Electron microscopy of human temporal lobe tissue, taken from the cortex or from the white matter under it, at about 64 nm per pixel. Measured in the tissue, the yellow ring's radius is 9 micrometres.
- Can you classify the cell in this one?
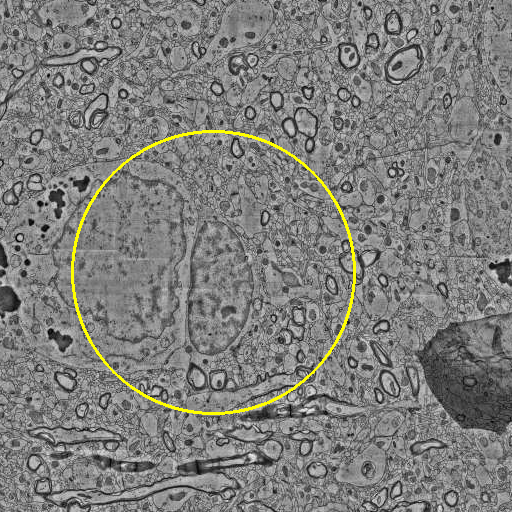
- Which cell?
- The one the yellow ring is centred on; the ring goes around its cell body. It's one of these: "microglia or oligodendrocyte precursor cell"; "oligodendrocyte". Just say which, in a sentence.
The cell body in the ring belongs to an oligodendrocyte.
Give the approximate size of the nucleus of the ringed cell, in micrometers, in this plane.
The nucleus of the ringed cell is clearly longer than it is wide in this plane, about 8 by 4 micrometres.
